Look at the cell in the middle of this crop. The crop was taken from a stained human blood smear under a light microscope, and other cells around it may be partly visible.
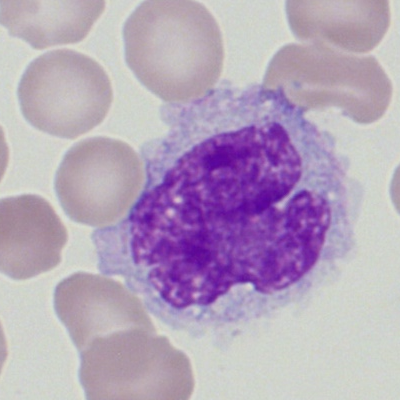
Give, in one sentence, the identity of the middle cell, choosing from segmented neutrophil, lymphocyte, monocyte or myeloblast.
The central cell, amid any neighbouring cells, is a monocyte.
